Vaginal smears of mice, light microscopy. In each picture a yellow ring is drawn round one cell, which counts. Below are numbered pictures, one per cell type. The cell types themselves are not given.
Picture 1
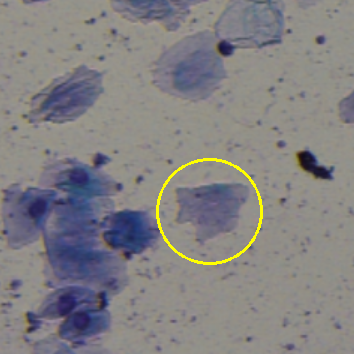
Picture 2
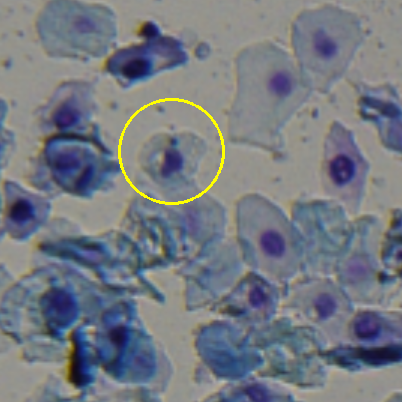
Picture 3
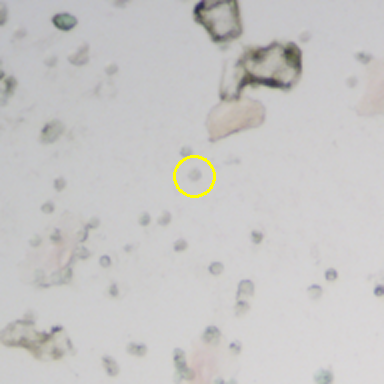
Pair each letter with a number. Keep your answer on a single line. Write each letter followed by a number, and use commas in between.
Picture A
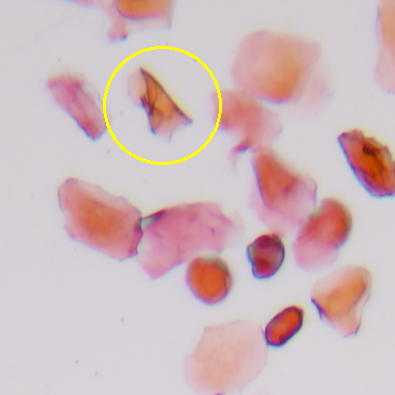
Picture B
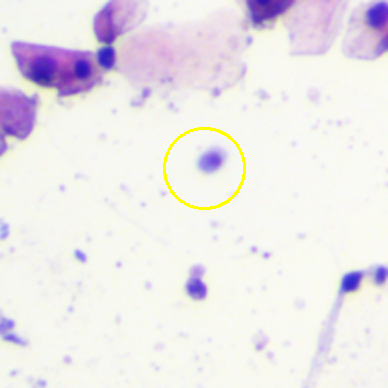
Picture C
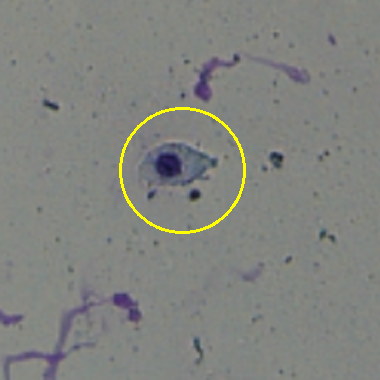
A 1, B 3, C 2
